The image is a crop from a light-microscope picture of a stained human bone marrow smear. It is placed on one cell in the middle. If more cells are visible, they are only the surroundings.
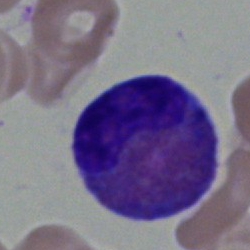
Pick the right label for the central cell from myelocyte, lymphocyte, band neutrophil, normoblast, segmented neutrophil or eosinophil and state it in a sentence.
What sits at the centre of this crop is an eosinophil.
